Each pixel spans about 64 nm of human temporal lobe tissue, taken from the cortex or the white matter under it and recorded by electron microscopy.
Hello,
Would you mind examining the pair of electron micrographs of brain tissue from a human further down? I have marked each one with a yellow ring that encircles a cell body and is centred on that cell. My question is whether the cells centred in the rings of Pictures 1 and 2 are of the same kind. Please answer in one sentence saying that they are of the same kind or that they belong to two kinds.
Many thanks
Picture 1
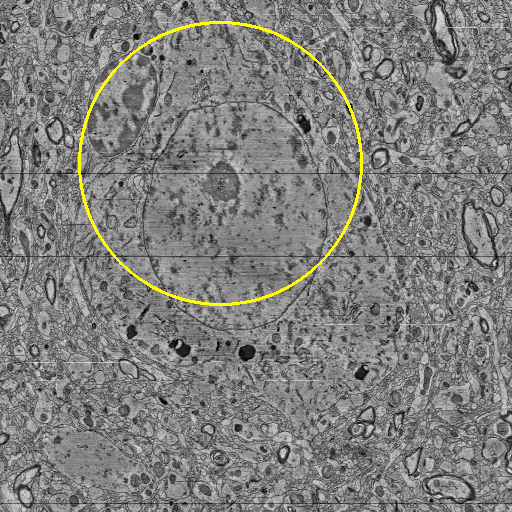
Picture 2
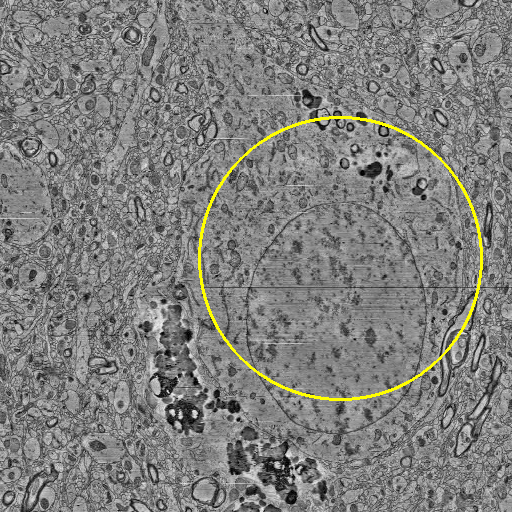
In Pictures 1 and 2, the cells at the heart of the rings are of the same kind.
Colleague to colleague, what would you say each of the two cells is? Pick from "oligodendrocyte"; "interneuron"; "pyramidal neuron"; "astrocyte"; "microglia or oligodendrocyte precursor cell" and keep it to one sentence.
Each of the two cells is a pyramidal neuron.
